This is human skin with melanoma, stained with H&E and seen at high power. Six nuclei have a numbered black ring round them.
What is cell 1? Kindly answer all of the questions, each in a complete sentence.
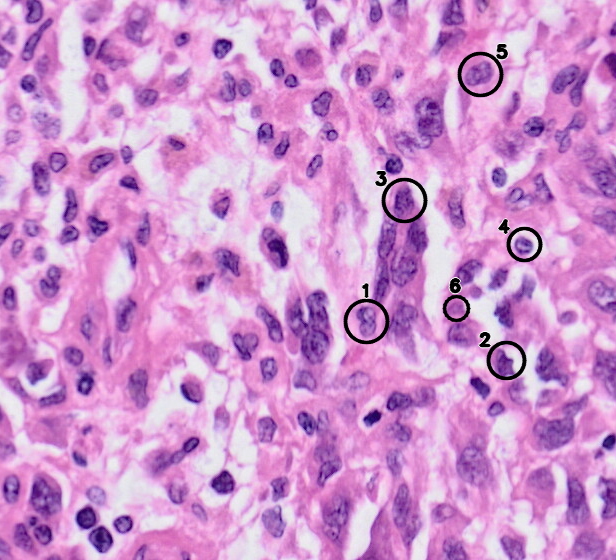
Cell 1 is classified as a macrophage or monocyte.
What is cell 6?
The cell whose nucleus carries the number 6 is a melanoma cell.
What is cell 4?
Belonging to a lymphocyte is the nucleus that carries the number 4.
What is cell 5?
The cell bearing label 5 corresponds to a macrophage or monocyte.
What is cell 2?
In the tissue shown, cell 2 is a melanoma cell.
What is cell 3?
The cell whose nucleus carries the number 3 is a melanoma cell.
